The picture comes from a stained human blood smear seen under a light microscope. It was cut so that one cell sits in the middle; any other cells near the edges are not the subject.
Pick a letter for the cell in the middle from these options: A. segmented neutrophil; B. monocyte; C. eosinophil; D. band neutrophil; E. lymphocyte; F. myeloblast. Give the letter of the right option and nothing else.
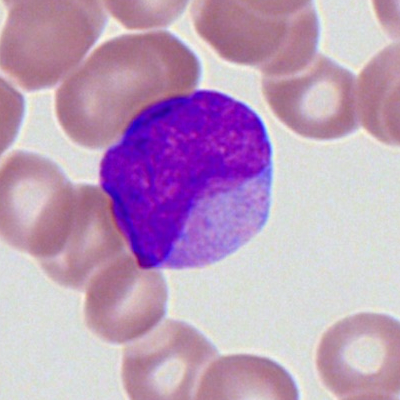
F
